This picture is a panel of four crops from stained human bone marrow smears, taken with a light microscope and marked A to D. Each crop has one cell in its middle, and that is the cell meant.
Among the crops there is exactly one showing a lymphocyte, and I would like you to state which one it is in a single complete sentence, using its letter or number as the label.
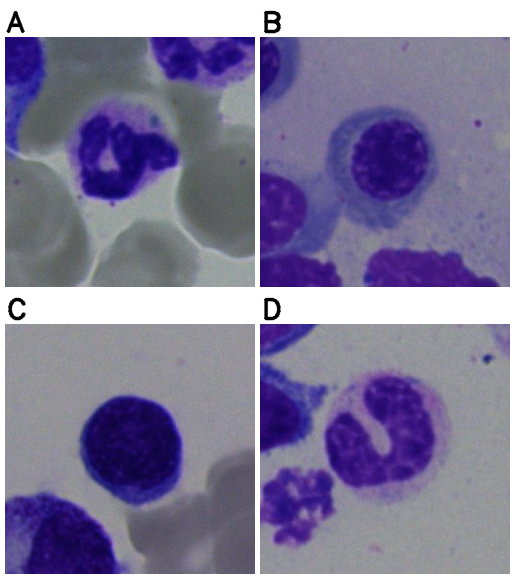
The correct choice is crop C, the one showing a lymphocyte.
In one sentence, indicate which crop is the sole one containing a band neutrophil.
Of these crops, it is crop D that shows a band neutrophil.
